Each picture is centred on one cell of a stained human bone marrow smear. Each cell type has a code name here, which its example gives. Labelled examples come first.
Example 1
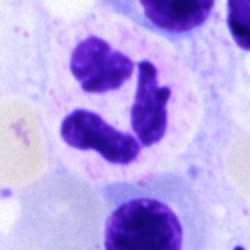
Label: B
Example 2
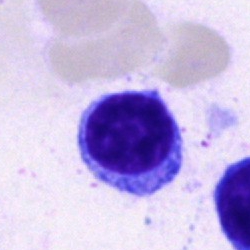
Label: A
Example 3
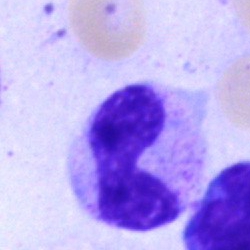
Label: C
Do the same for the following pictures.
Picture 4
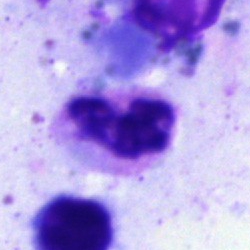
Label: B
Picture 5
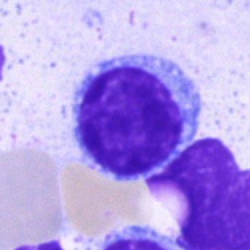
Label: A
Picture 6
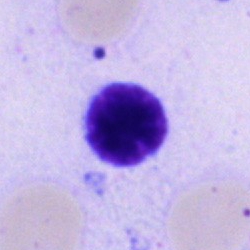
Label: A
